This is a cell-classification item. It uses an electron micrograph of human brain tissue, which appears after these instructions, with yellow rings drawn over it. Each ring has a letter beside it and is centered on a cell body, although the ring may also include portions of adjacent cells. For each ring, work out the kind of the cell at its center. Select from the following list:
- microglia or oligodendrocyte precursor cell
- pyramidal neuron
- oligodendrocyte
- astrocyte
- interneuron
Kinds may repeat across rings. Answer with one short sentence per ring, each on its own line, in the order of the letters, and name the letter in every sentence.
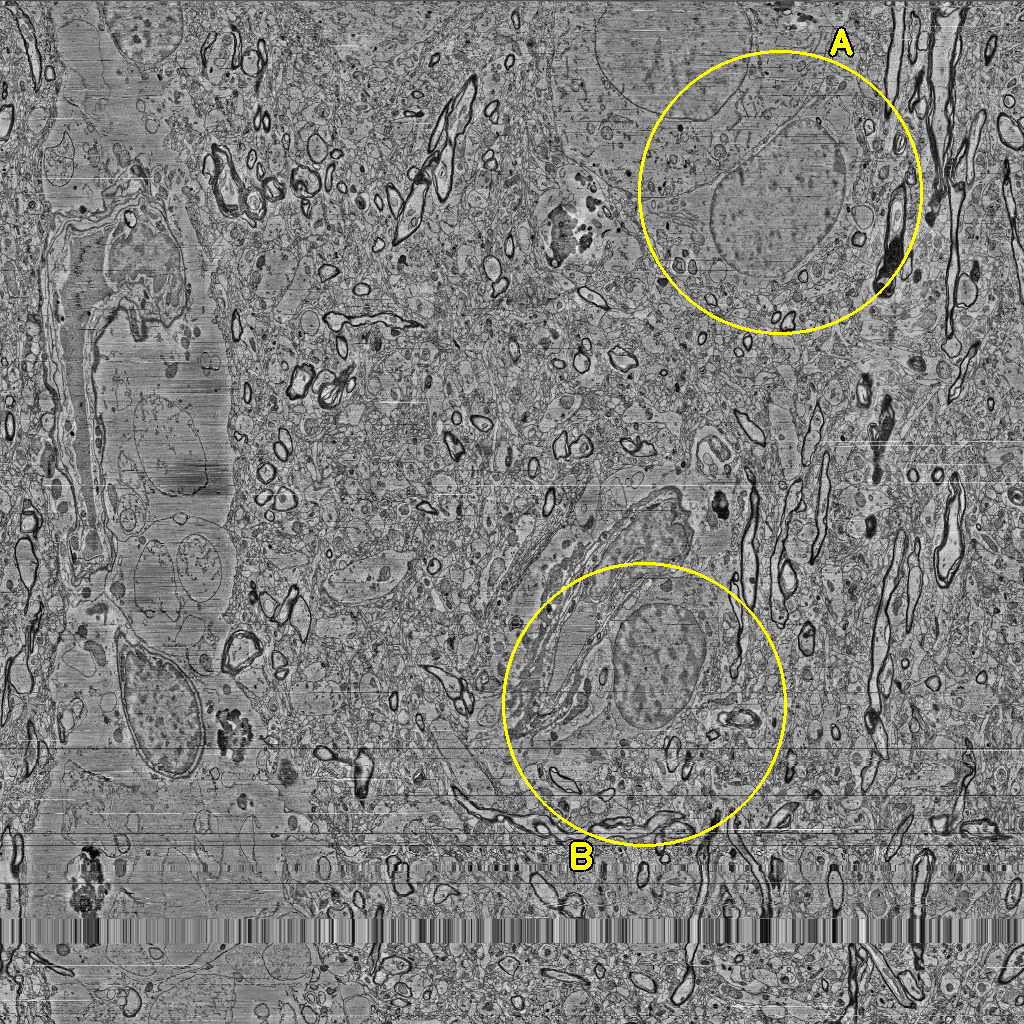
Ring A has an astrocyte at its center.
Ring B has an oligodendrocyte at its center.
